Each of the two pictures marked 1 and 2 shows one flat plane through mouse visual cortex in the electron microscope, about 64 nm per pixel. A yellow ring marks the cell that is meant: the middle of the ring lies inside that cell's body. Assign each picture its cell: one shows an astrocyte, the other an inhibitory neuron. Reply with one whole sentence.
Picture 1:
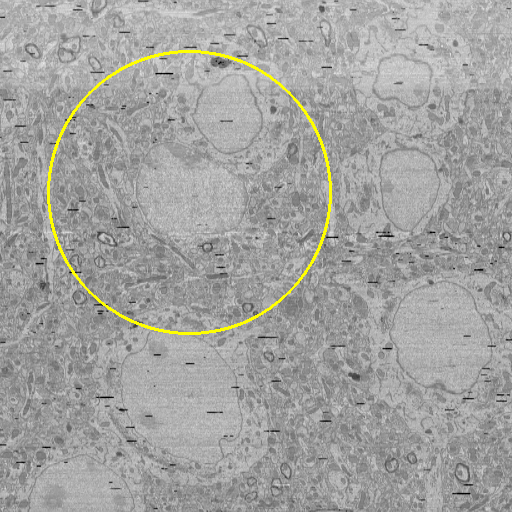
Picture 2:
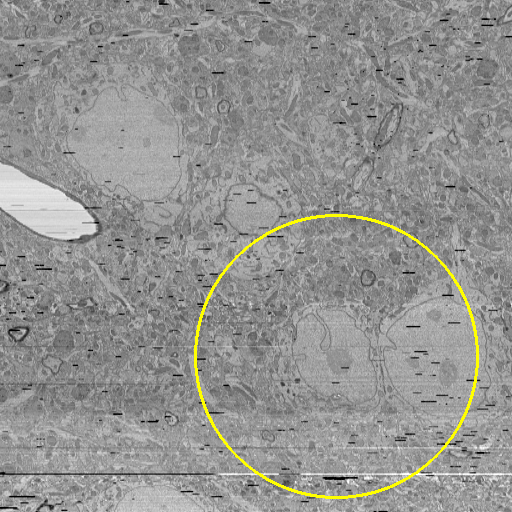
In picture 1 the cell is an astrocyte; in picture 2, an inhibitory neuron.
